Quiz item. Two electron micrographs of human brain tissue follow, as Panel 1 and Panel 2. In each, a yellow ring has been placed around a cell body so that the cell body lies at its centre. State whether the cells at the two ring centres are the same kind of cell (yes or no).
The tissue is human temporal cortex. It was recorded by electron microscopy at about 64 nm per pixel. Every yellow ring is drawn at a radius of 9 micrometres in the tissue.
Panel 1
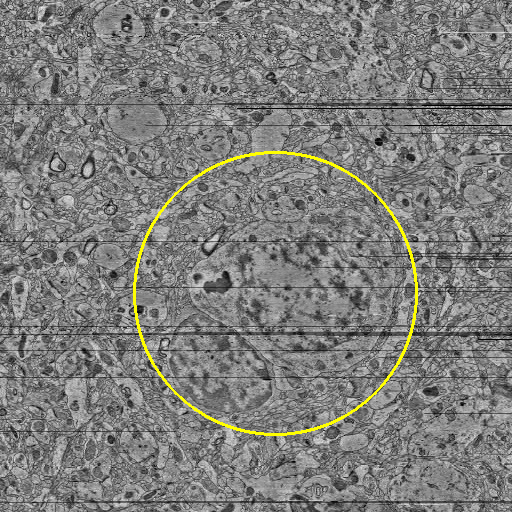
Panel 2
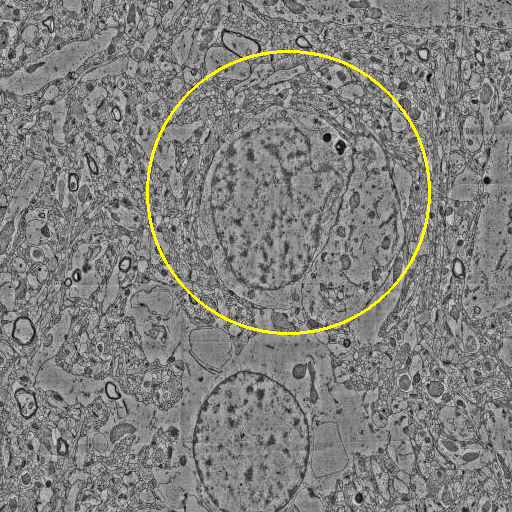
yes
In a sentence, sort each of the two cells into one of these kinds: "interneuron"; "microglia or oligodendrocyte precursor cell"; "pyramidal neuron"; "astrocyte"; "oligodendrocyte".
Each of the ringed cells, first and second, is an interneuron.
